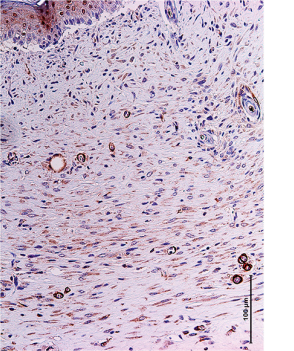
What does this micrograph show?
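The spindle-shaped cells have elongated blue nuclei and faintly brown cytoplasm, and they are arranged largely parallel to one another in sweeping rows. Small blood vessels with strongly brown walls are scattered between them. A strip of epidermis lies at the top left corner.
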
